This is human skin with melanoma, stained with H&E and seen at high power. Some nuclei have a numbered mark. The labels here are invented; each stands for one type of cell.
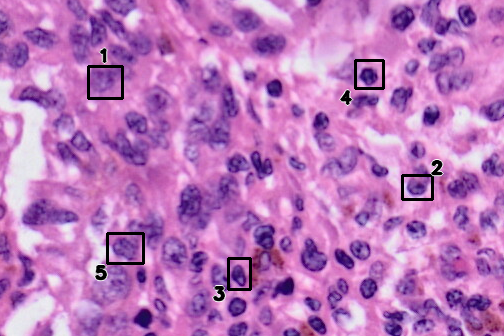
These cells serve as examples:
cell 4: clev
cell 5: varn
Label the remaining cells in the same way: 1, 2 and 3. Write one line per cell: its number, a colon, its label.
1: varn
2: clev
3: clev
